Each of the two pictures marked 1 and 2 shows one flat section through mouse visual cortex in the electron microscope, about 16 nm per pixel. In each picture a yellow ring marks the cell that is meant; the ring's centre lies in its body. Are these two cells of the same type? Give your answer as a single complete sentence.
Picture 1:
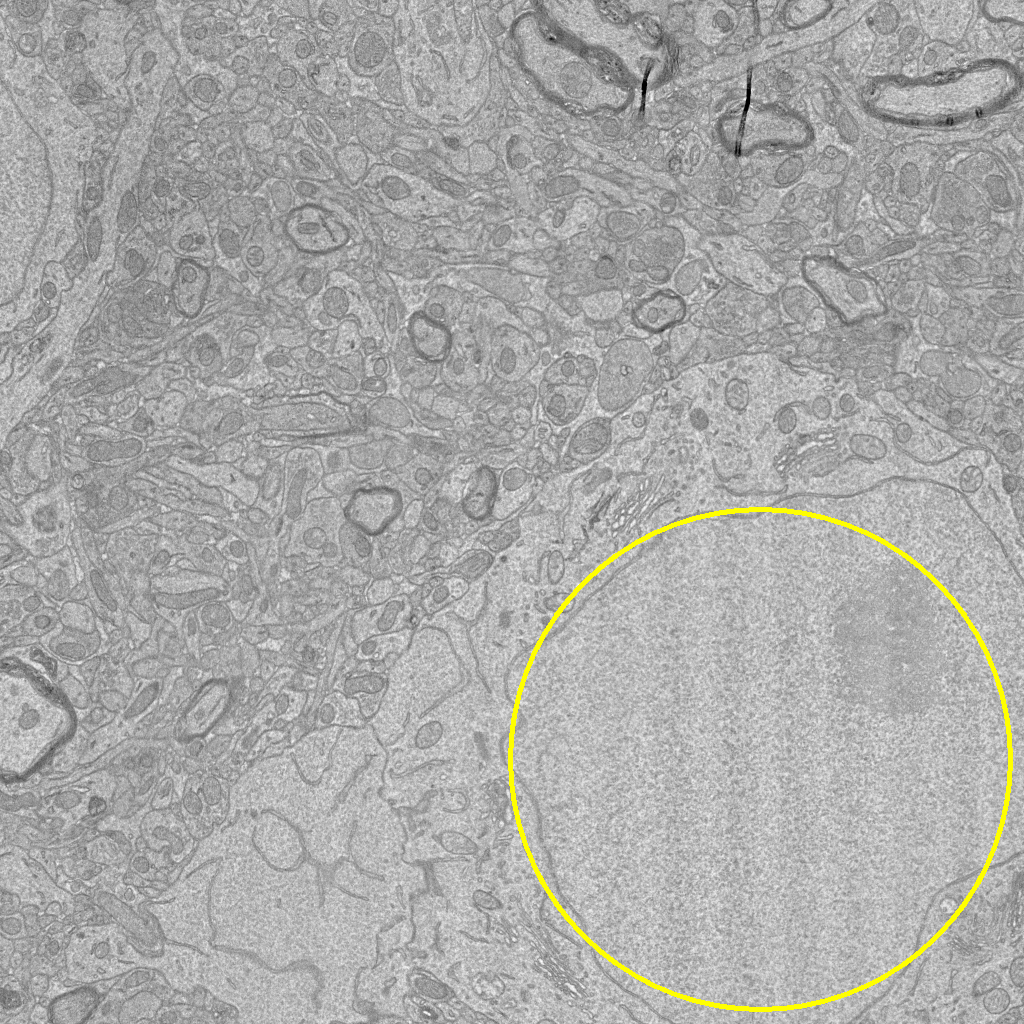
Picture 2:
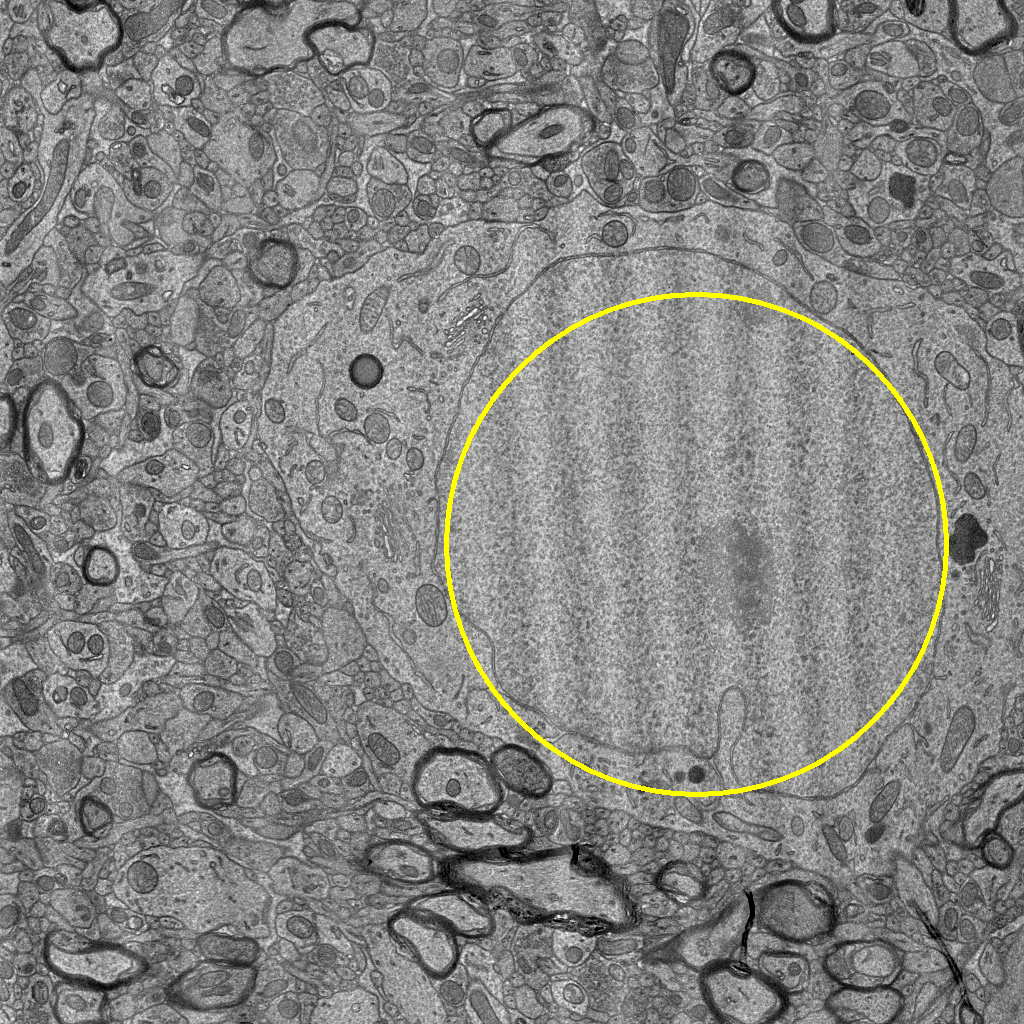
Yes, both are excitatory neurons.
